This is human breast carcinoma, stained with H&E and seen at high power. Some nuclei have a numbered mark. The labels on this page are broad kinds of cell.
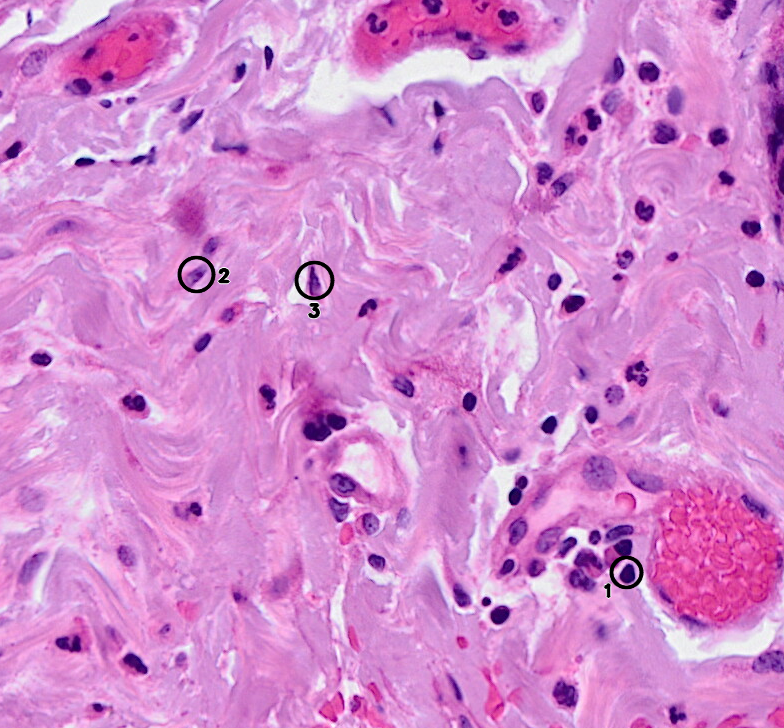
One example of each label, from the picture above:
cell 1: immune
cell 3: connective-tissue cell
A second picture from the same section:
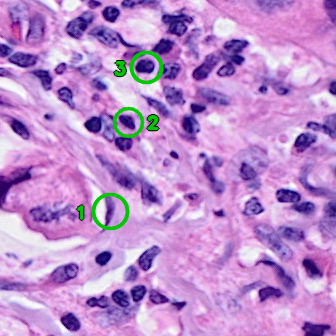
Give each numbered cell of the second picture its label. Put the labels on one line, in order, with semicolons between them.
connective-tissue cell; immune; immune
